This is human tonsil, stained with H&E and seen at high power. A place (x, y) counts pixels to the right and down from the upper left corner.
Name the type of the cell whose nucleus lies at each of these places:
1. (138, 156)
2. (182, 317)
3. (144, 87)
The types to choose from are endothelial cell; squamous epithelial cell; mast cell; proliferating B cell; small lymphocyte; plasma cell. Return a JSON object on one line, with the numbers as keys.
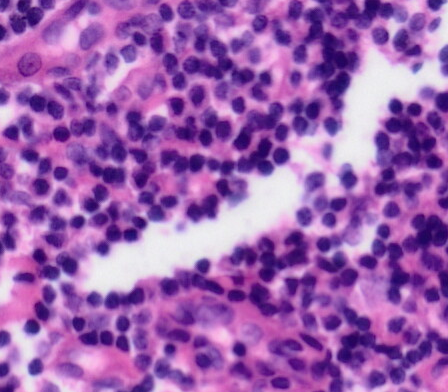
{"1": "small lymphocyte", "2": "endothelial cell", "3": "endothelial cell"}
